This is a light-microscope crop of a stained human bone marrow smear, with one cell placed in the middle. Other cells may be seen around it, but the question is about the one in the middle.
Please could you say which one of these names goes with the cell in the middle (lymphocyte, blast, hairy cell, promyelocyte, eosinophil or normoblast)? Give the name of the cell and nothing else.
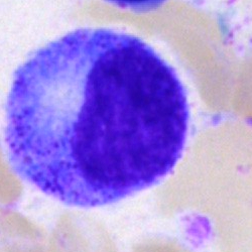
promyelocyte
